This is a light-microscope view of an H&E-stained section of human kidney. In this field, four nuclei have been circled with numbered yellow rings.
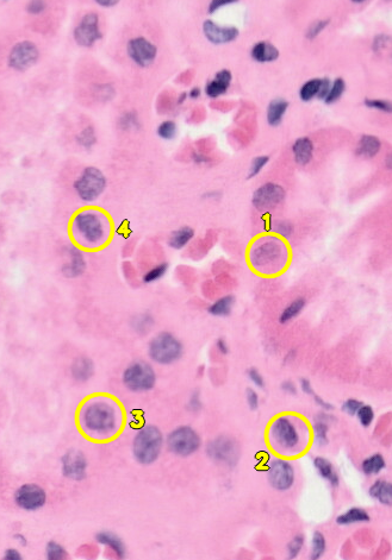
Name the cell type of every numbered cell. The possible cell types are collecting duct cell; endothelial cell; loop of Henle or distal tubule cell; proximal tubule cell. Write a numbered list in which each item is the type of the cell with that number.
1. proximal tubule cell
2. loop of Henle or distal tubule cell
3. proximal tubule cell
4. proximal tubule cell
